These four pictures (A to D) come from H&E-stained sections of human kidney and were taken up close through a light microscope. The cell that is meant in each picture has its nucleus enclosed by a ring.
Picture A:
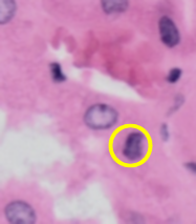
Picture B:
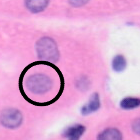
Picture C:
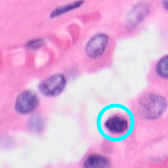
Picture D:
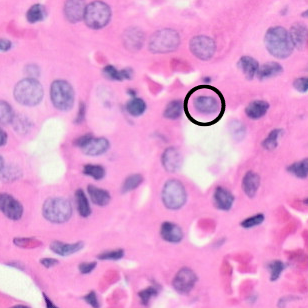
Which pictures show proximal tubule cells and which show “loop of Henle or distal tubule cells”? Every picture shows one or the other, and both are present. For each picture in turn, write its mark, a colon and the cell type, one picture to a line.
A: proximal tubule cell
B: proximal tubule cell
C: loop of Henle or distal tubule cell
D: loop of Henle or distal tubule cell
